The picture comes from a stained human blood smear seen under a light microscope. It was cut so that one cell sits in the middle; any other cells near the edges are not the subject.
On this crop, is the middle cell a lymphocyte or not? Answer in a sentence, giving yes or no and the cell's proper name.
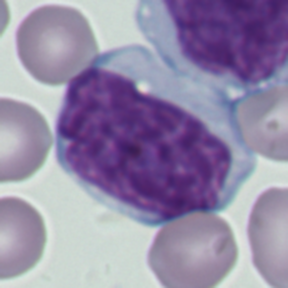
No, the central cell isn't a lymphocyte, but a blast.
